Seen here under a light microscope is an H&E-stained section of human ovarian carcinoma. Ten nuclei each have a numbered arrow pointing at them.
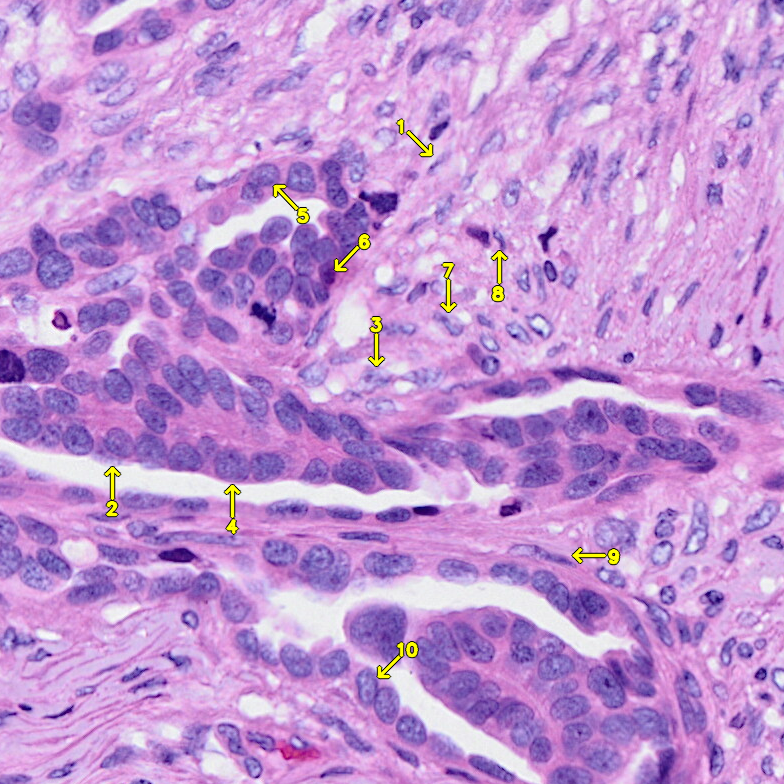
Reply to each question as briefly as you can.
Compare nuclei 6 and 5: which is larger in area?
5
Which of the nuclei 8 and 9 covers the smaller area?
8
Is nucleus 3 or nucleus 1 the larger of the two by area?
3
